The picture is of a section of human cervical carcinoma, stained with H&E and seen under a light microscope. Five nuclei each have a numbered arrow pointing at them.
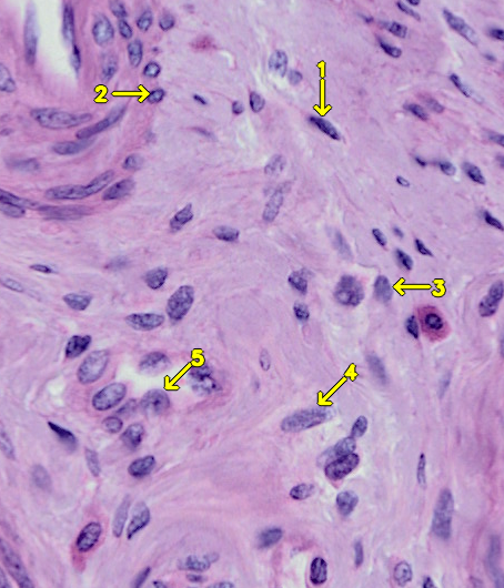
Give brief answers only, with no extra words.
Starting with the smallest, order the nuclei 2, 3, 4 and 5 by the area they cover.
2, 3, 5, 4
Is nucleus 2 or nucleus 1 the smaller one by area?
2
